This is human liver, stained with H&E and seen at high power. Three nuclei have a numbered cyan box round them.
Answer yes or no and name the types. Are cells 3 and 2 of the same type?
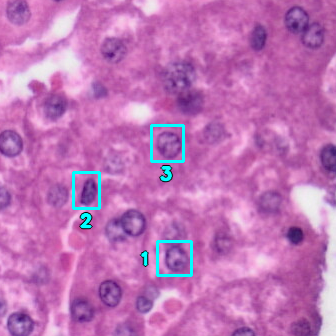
No, cell 3 is interpreted as a hepatocyte, and cell 2 is interpreted as a fibroblast or stellate cell.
